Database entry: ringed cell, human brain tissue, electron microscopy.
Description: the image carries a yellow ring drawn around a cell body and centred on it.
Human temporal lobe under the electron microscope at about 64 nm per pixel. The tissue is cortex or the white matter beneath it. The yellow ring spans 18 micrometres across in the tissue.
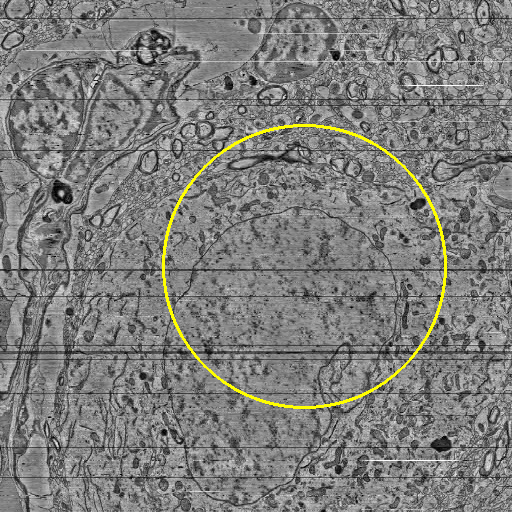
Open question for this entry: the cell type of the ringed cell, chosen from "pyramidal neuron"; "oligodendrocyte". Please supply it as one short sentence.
The ringed cell is a pyramidal neuron.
